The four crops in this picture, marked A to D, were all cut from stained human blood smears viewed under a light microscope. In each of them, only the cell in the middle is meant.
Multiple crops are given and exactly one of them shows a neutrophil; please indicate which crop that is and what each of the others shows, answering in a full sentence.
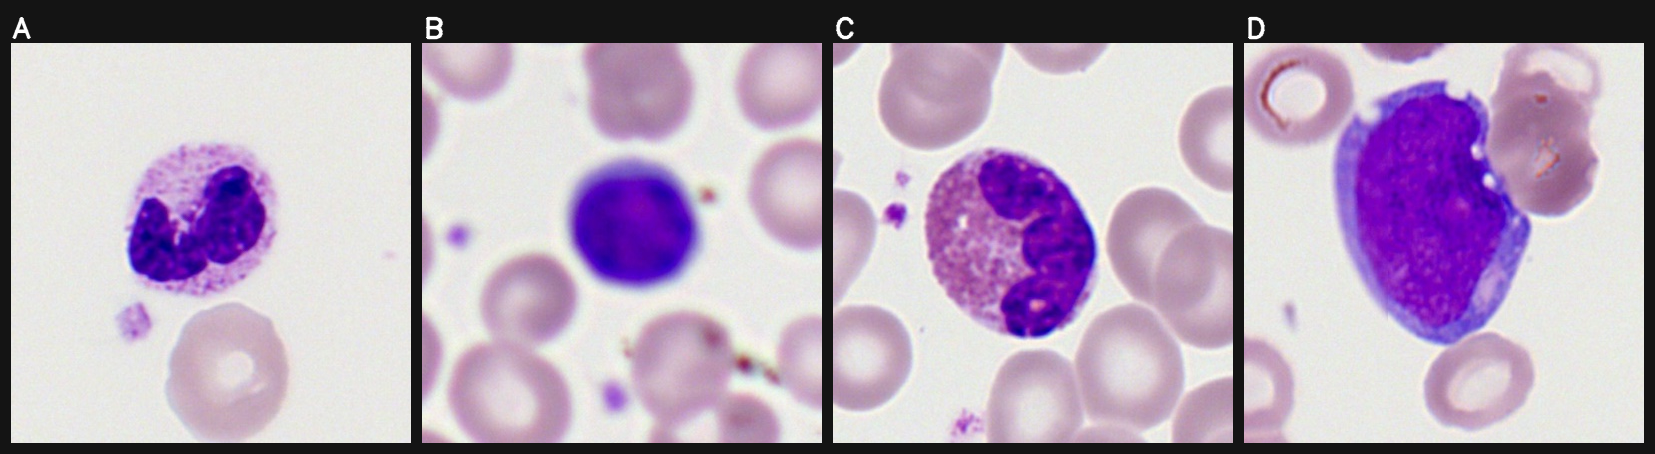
Going crop by crop, crop A is a neutrophil, while crop B is a lymphocyte, crop C is an eosinophil and crop D is a blast.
